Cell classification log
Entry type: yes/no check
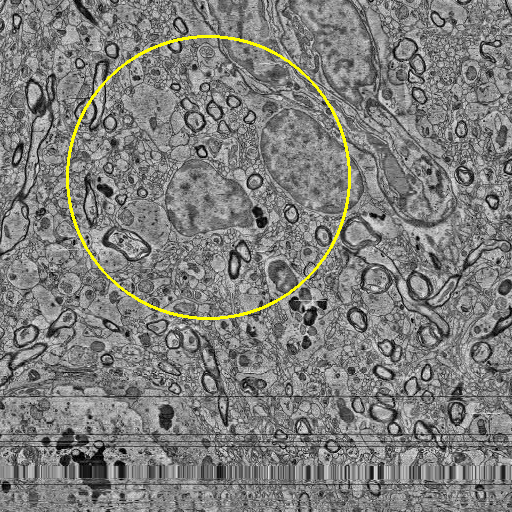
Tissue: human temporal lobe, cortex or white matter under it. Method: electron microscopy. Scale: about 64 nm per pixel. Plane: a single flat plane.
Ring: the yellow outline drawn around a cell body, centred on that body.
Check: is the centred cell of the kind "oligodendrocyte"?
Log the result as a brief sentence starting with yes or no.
No, the cell is of another kind.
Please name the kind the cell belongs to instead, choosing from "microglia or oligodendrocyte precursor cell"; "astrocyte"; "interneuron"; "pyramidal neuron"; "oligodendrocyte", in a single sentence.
Instead, the ring surrounds a microglial cell or oligodendrocyte precursor cell in this picture.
